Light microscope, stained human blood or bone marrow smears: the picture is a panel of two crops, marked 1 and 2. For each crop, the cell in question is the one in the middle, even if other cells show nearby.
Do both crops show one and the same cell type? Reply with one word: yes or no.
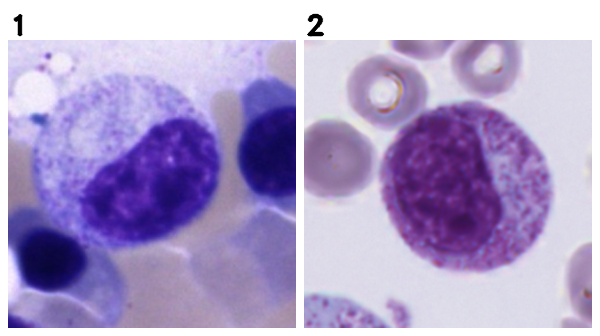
yes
